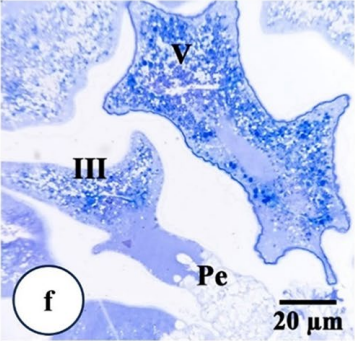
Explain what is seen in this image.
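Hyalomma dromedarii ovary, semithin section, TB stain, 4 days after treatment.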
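Large pale-blue cells with irregular, pointed outlines extend projections in several directions, their cytoplasm holding scattered dark-blue granules and clumped areas. Small clear spaces are present within the cytoplasm. Below lies a pale, frothy cluster of cells.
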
